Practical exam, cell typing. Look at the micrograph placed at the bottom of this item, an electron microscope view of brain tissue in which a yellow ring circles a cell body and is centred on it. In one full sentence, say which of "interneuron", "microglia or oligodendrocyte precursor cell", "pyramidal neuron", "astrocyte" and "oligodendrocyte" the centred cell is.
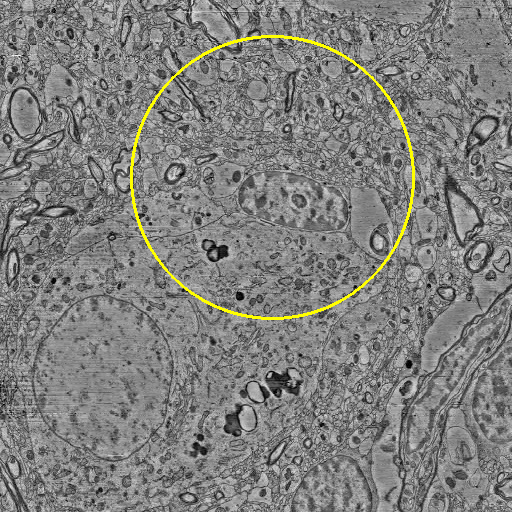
Given the options, a microglial cell or oligodendrocyte precursor cell fits the cell whose body the yellow ring is centred on.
